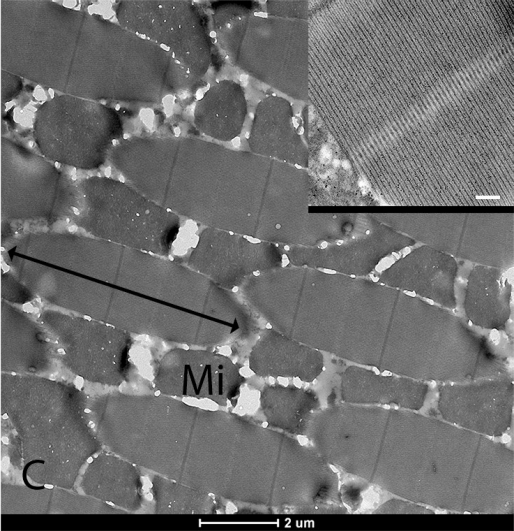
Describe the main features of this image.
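This is insect indirect flight muscle seen by electron microscopy, with long, dense myofibrils lying in parallel and regularly crossed by thin dark transverse lines. Between them sit many large, round to oval dense mitochondria, packed closely with only small pale spaces left over. The myofibrils look evenly dense throughout, and the inset shows a tightly ordered, continuous lattice of filaments.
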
